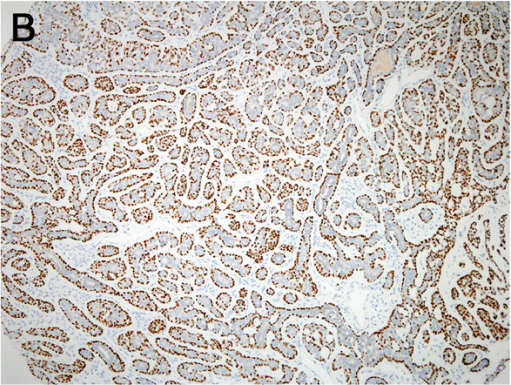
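This is a basal cell neoplasm built of anastomosing cords, trabeculae and small tubules of basaloid cells set in a pale, loose stroma. The brown stain lies in the nuclei, and it is strongest in the cells at the outer edges of the cords. Cells in the centre of the cords and those lining tiny lumens often keep pale blue, unstained nuclei. The result is a two-layered look, with a stained peripheral rim around paler inner cells. The stroma between the cords is largely unstained.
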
